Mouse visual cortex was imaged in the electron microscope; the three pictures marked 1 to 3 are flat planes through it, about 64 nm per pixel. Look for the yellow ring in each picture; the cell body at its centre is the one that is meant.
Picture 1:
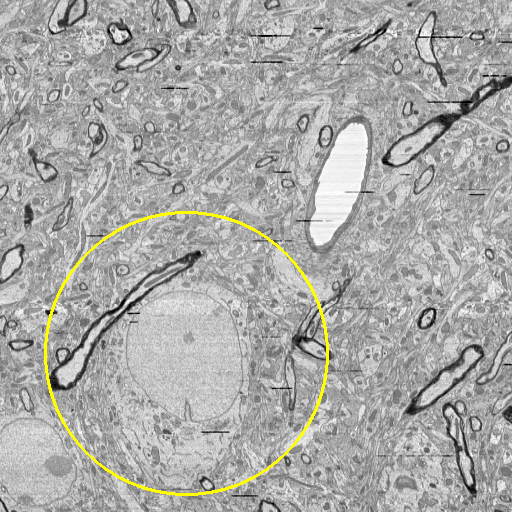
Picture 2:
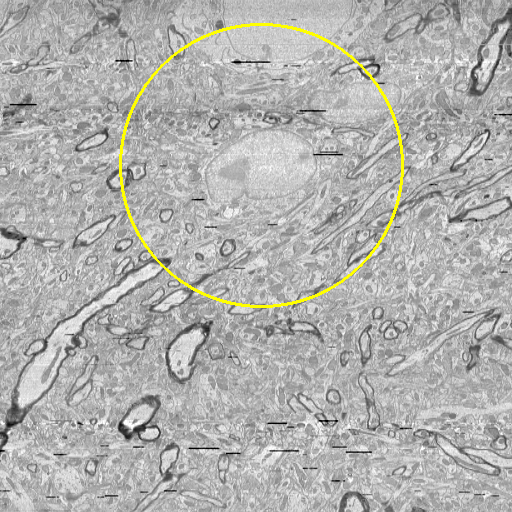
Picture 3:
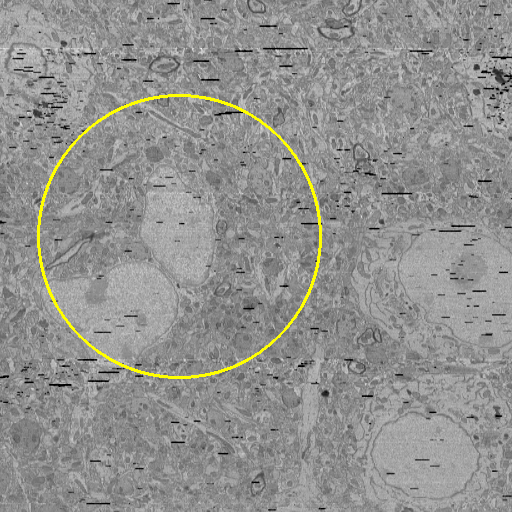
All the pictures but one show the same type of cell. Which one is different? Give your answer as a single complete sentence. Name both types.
Picture 1 differs, because its cell is an excitatory neuron and the rest are astrocytes.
